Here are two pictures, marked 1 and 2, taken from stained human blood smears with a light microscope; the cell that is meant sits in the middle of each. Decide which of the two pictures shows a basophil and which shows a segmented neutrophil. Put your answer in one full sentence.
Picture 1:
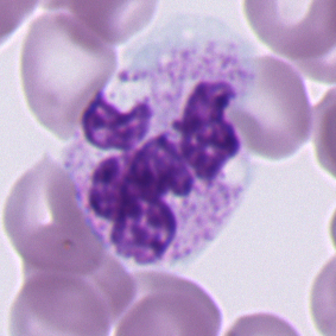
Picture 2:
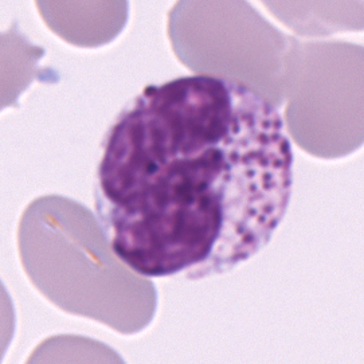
Picture 2 shows a basophil, while picture 1 shows a segmented neutrophil.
